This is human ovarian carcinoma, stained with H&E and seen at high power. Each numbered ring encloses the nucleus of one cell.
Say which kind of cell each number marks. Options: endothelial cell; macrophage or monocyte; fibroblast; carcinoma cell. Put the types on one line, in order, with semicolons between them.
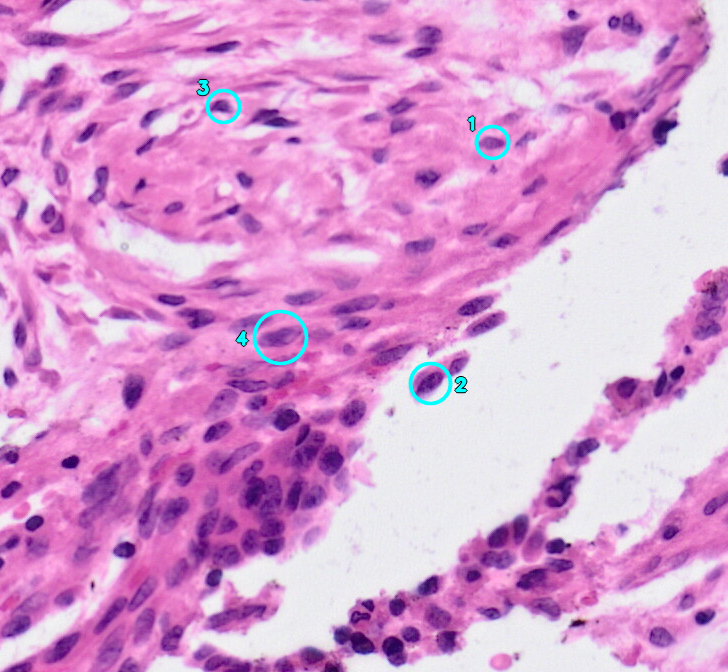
fibroblast; carcinoma cell; fibroblast; fibroblast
